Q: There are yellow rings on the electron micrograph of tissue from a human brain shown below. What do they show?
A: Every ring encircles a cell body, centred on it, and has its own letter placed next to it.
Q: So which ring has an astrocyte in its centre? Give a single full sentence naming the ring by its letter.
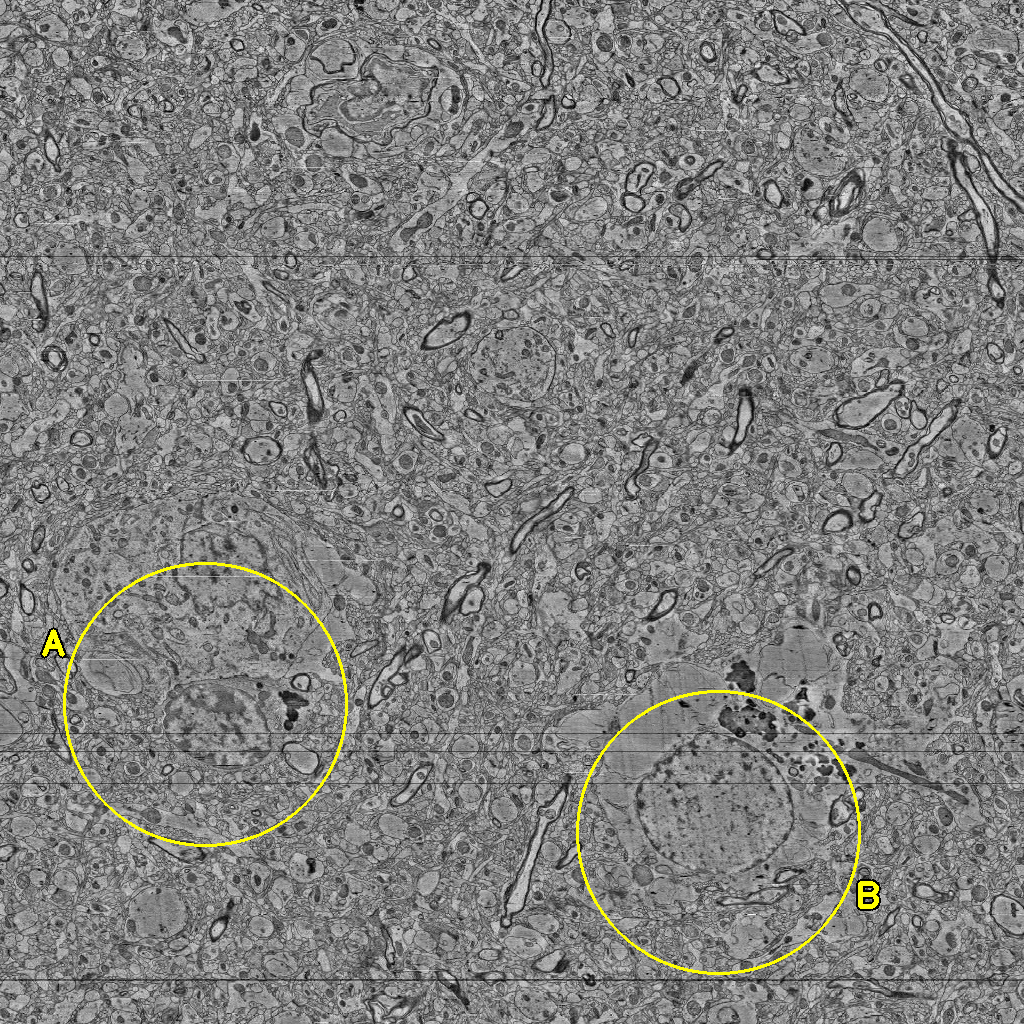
Ring B has the cell asked for at its centre in the picture.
